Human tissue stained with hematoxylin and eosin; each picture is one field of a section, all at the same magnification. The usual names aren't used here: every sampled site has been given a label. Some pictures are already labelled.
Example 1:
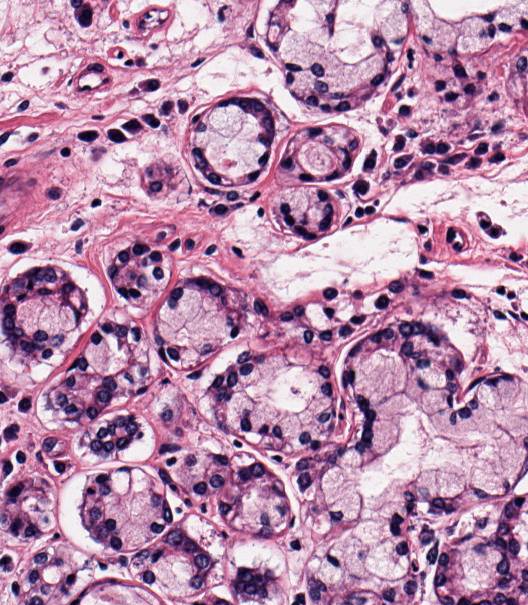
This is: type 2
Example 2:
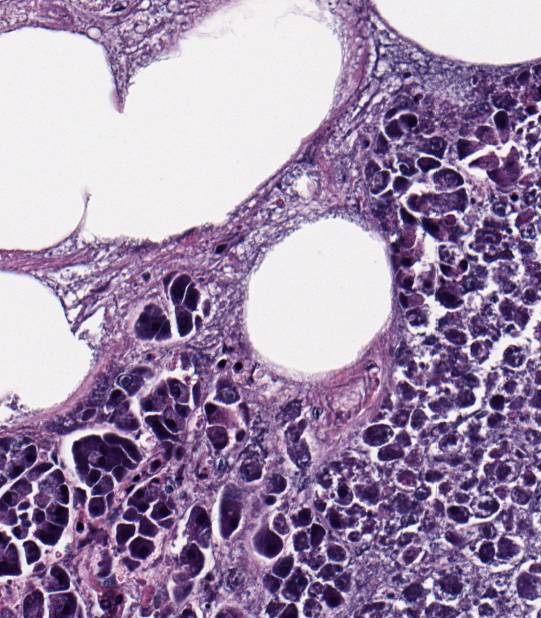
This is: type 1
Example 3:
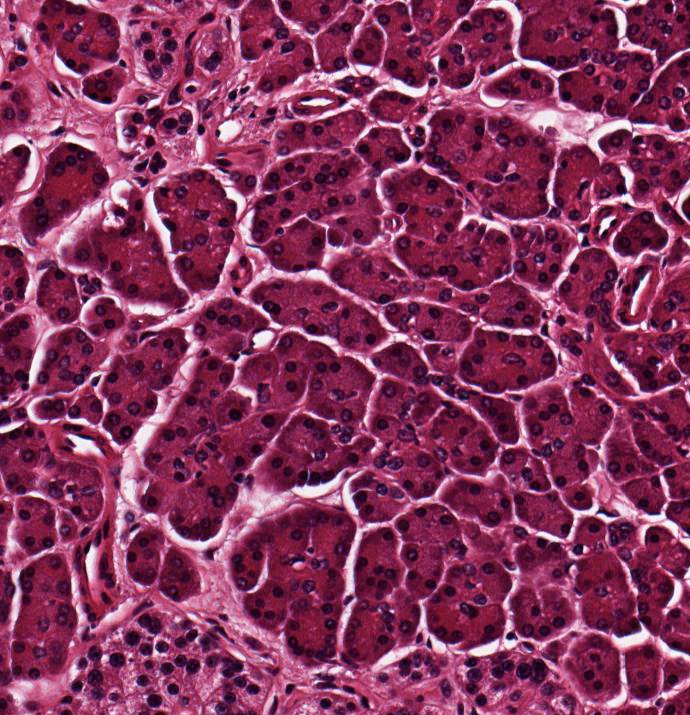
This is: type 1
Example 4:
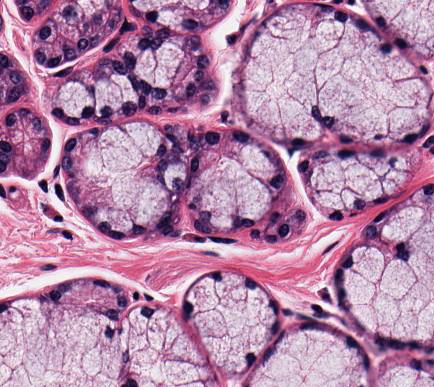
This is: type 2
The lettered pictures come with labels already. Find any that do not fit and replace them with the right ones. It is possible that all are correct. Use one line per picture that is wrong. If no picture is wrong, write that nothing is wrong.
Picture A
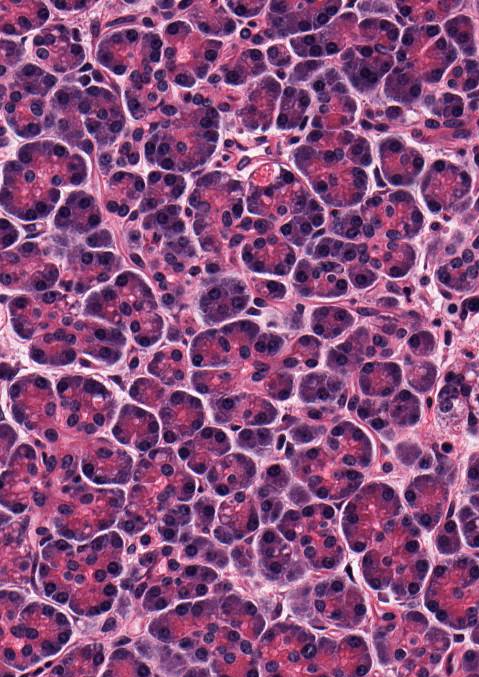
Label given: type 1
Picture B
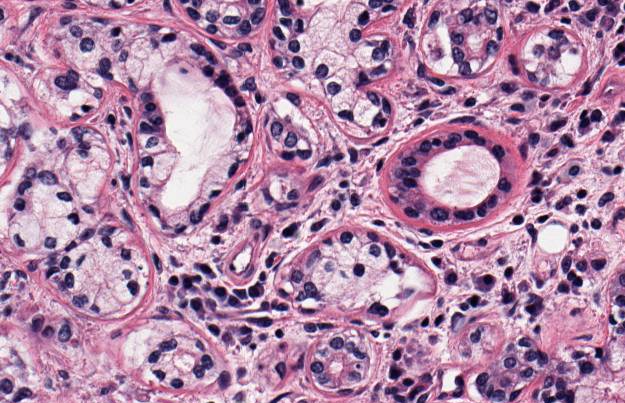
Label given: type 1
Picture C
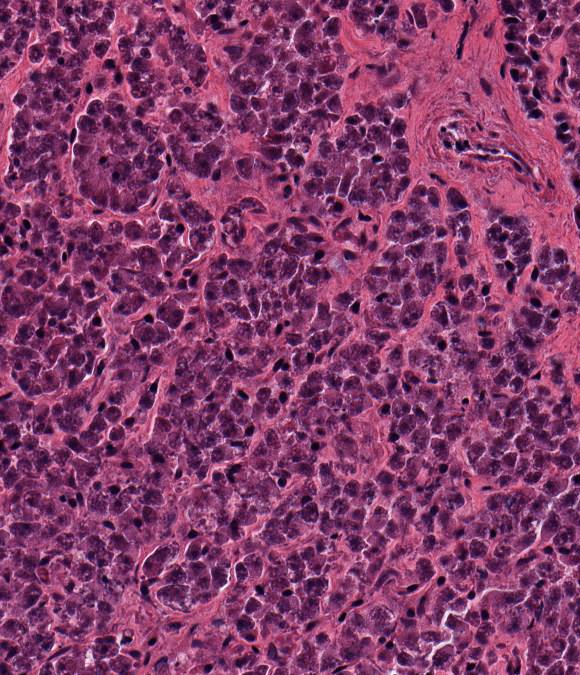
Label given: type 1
B: not type 1 but type 2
